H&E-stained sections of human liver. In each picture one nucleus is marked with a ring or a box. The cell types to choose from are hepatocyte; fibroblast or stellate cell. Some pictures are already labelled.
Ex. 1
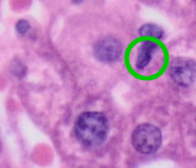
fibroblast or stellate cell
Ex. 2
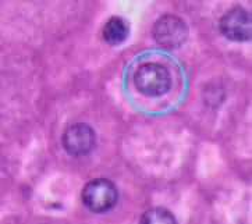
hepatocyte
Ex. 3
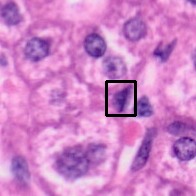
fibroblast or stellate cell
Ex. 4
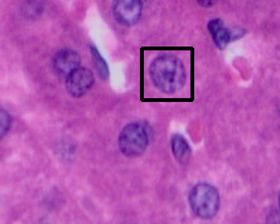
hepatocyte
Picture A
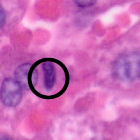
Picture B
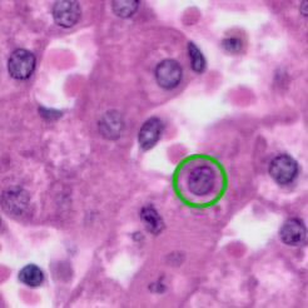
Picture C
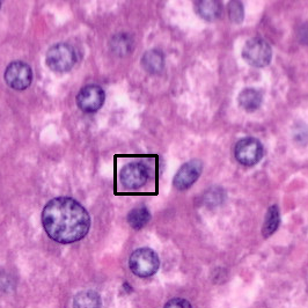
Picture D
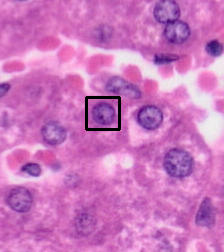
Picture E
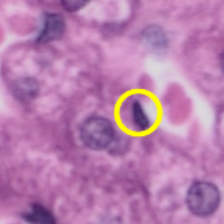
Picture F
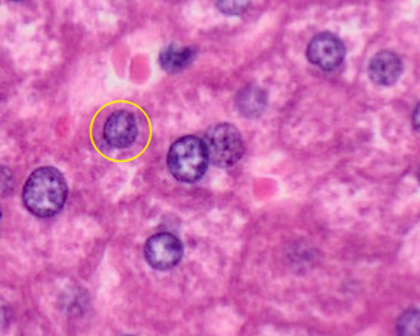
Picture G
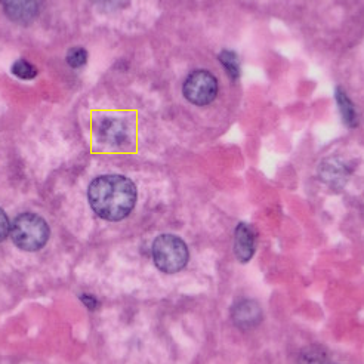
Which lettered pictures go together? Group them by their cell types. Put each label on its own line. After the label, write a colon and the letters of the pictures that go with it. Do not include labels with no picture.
hepatocyte: B, C, D, F, G
fibroblast or stellate cell: A, E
